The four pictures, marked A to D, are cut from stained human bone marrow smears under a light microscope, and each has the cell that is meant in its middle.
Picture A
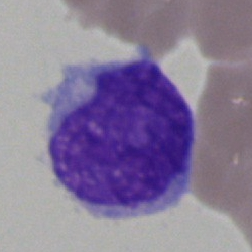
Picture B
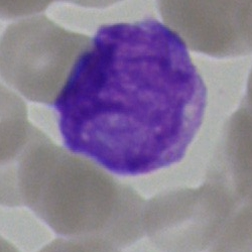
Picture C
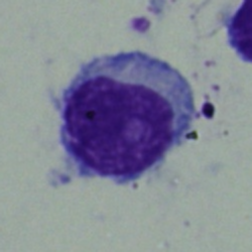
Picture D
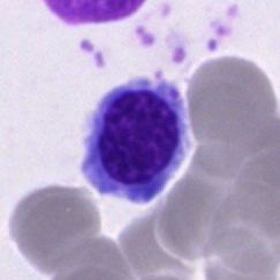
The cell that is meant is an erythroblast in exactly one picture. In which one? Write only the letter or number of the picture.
D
